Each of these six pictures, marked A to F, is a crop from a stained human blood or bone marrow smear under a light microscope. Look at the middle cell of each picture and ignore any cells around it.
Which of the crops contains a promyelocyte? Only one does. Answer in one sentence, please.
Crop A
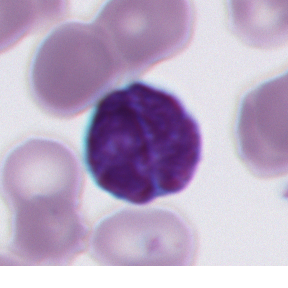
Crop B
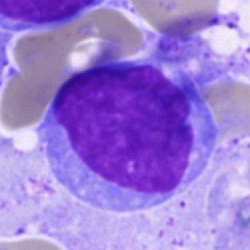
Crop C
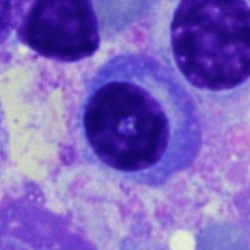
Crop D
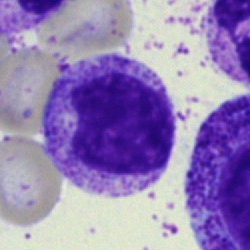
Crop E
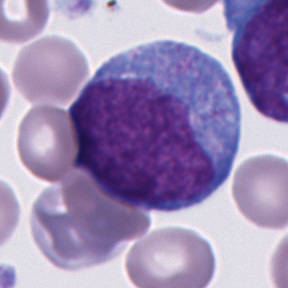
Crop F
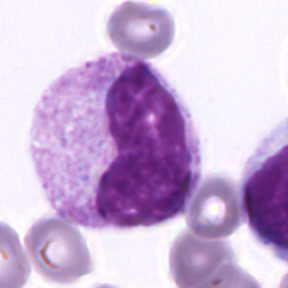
It is in crop E, among all the crops, that a promyelocyte is present.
